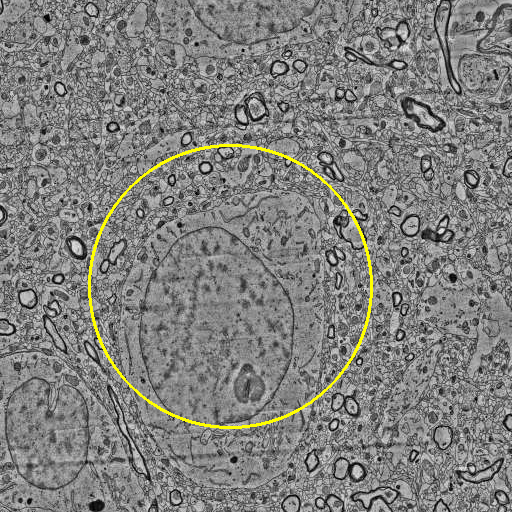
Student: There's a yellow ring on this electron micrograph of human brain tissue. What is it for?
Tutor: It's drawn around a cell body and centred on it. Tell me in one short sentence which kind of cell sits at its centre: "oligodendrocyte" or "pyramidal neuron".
The cell at the centre of the ring is a pyramidal neuron.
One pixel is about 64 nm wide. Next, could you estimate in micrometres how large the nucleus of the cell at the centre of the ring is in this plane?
The nucleus measures about 13 by 10 micrometres in this plane.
